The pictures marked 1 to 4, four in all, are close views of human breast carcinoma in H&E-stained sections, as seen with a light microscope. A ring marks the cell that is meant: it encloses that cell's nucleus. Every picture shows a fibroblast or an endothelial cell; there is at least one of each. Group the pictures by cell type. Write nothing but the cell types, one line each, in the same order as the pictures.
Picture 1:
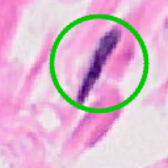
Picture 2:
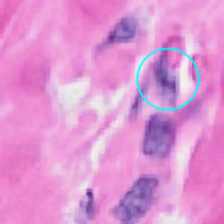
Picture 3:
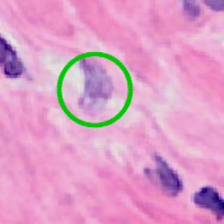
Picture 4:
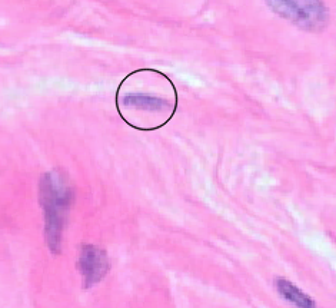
fibroblast
endothelial cell
fibroblast
fibroblast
